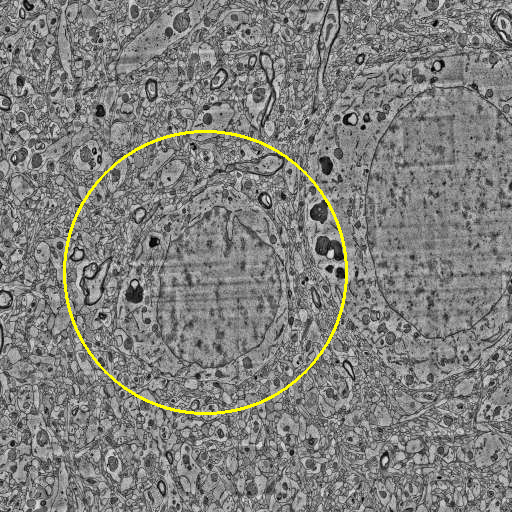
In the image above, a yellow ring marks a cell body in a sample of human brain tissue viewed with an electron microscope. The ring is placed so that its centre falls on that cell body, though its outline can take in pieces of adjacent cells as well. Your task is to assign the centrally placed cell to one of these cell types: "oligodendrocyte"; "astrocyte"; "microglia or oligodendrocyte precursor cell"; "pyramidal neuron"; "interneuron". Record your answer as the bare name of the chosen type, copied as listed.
interneuron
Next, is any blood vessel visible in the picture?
No, there is no blood vessel.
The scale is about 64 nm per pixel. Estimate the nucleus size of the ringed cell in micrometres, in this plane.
The ringed cell's nucleus measures approximately 10 by 8 micrometres in this plane.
